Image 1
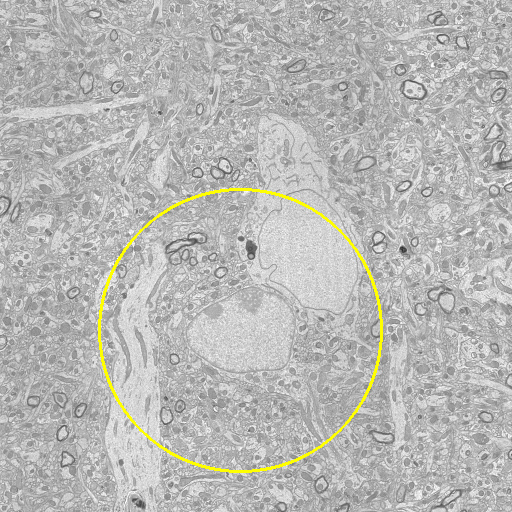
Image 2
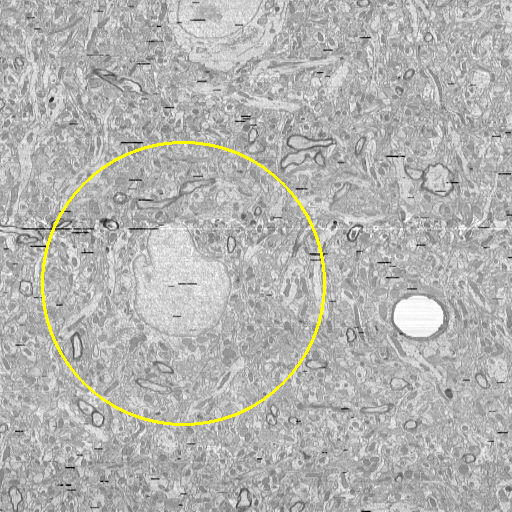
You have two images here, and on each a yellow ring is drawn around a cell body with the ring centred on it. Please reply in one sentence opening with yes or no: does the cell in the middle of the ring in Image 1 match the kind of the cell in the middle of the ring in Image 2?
Yes, the two images show cells of one kind at the centres of their rings.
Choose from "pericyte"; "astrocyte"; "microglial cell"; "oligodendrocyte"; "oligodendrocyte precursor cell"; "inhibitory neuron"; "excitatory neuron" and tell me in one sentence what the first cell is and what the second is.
Each of the two rings is centred on an astrocyte.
